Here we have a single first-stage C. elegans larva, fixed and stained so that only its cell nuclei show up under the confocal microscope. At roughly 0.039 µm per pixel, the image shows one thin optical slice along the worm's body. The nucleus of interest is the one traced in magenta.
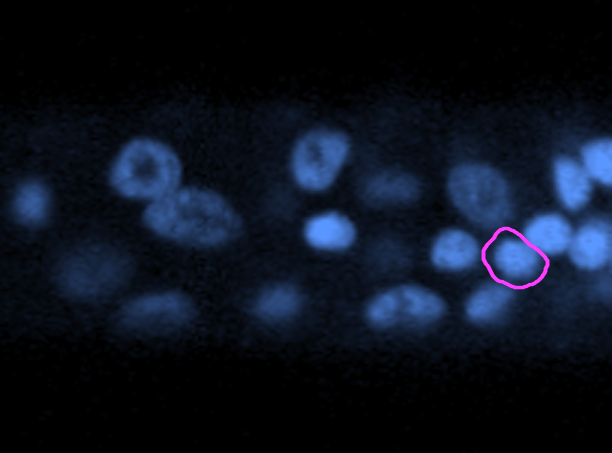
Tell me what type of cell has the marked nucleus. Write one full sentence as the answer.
It belongs to a neuron.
